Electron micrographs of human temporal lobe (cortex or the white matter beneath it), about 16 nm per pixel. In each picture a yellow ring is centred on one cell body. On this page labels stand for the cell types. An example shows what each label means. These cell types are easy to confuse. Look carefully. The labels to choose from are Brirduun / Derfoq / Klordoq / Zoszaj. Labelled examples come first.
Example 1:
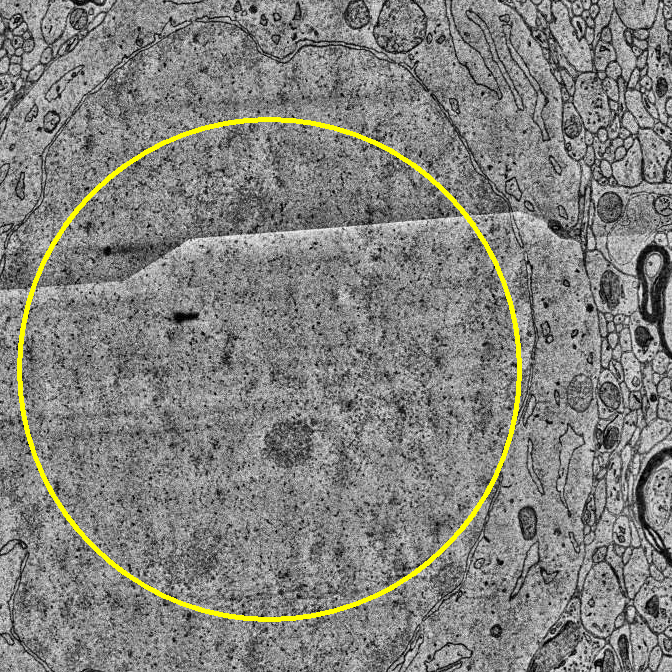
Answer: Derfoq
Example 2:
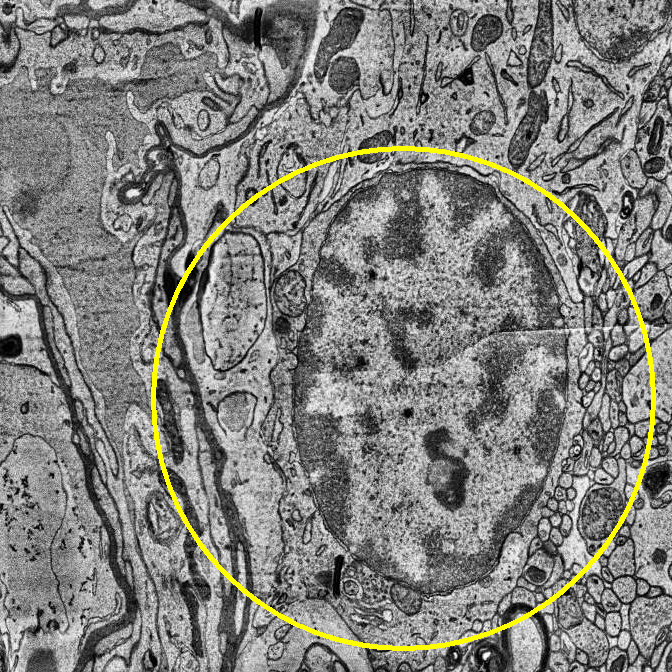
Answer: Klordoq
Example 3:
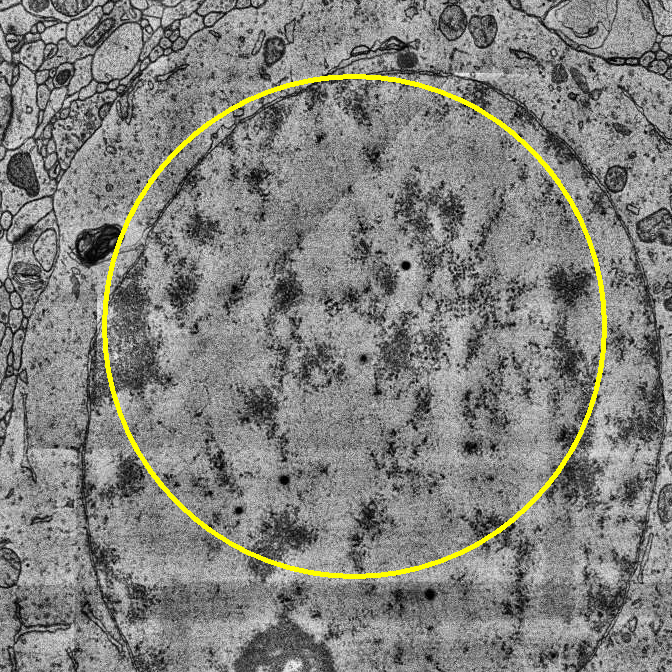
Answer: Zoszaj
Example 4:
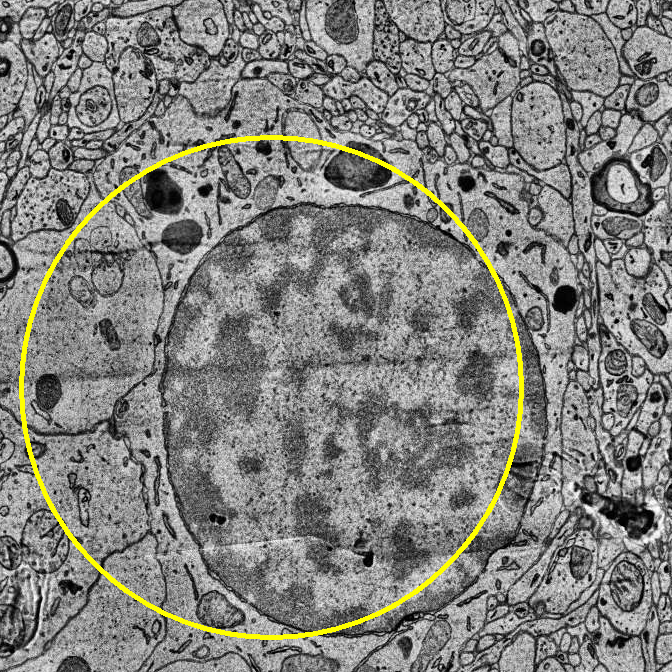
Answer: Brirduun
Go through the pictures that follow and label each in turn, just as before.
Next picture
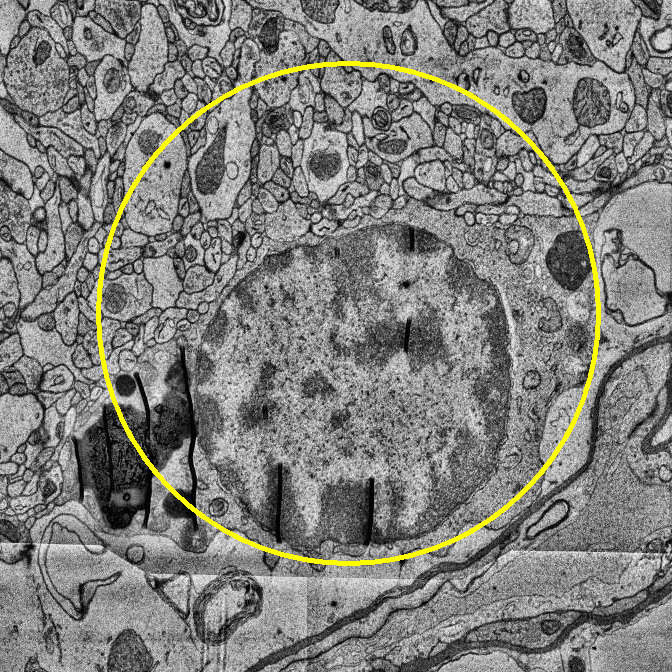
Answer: Klordoq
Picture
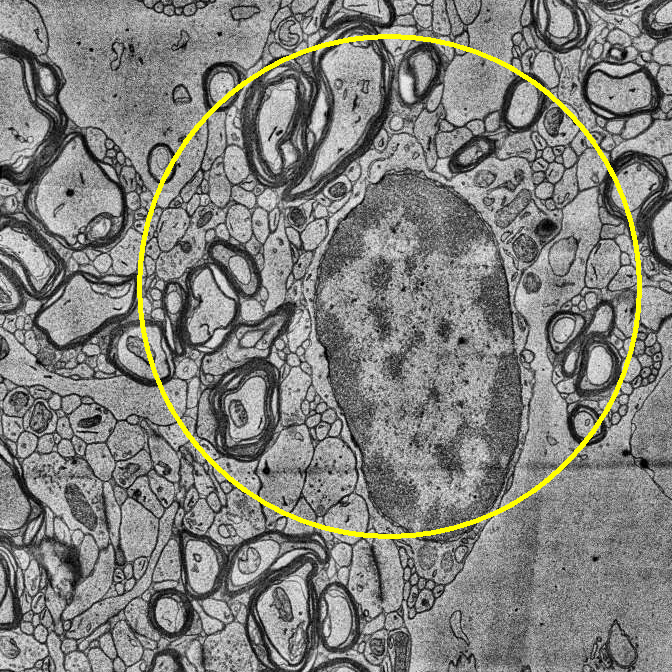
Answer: Brirduun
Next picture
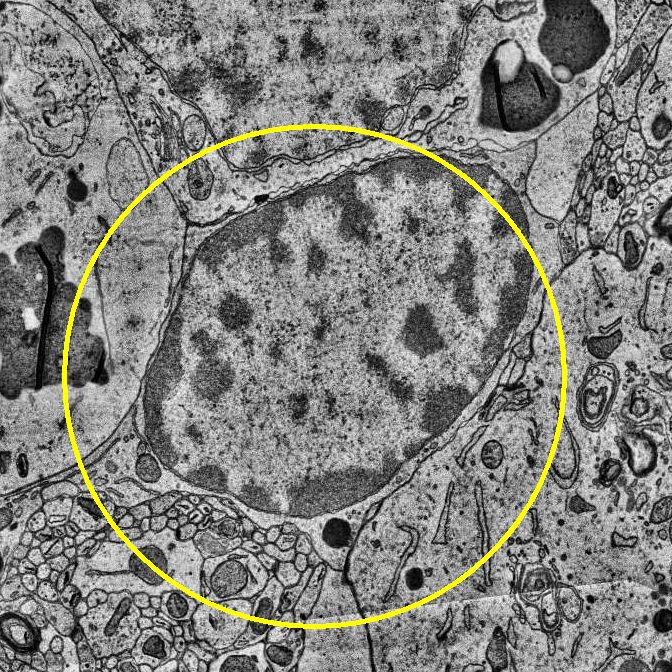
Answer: Brirduun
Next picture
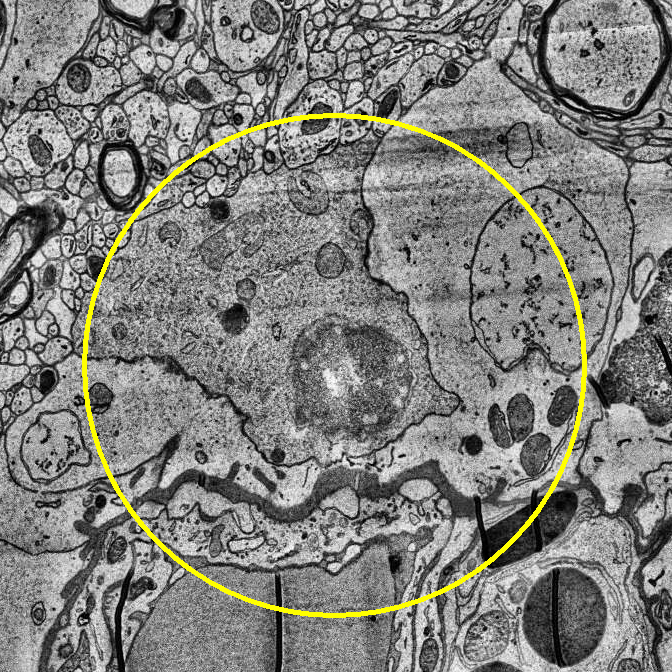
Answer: Klordoq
